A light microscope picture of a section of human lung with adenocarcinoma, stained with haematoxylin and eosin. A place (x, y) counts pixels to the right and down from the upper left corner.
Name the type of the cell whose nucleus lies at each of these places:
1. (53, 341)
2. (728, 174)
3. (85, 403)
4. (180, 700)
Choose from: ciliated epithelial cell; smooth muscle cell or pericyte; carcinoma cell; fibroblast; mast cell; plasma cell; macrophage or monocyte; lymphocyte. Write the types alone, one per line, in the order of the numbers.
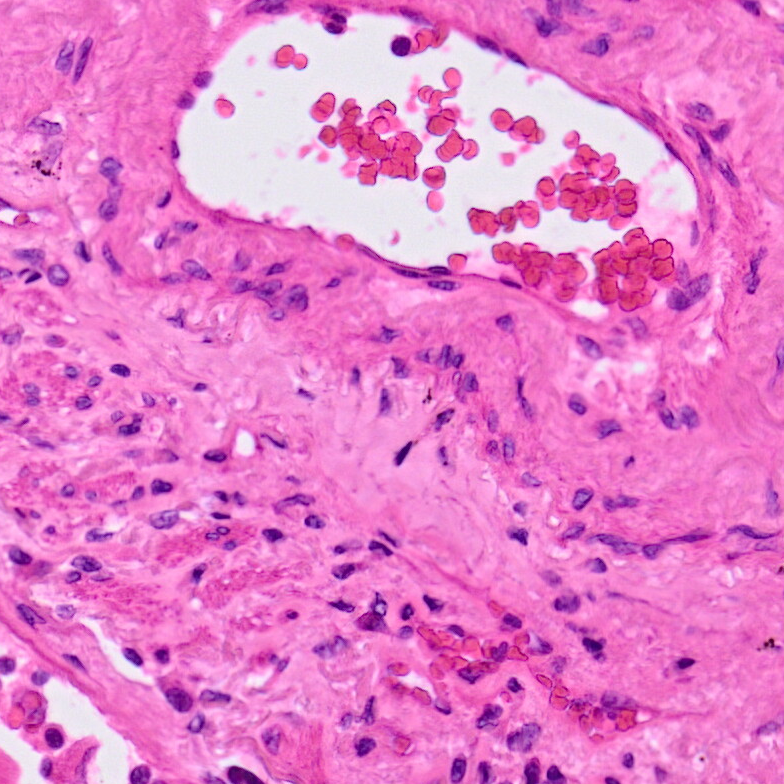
smooth muscle cell or pericyte
smooth muscle cell or pericyte
smooth muscle cell or pericyte
plasma cell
